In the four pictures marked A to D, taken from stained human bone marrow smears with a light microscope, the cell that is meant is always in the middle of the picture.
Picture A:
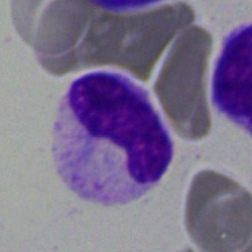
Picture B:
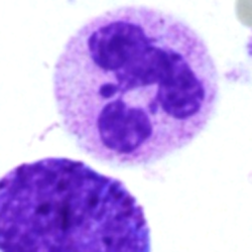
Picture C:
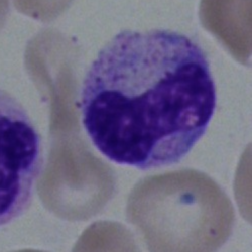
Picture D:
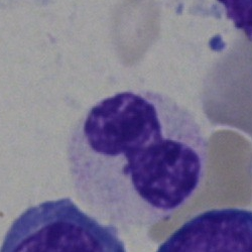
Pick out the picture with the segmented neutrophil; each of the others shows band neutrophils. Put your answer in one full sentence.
Picture B is the one that shows the segmented neutrophil.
